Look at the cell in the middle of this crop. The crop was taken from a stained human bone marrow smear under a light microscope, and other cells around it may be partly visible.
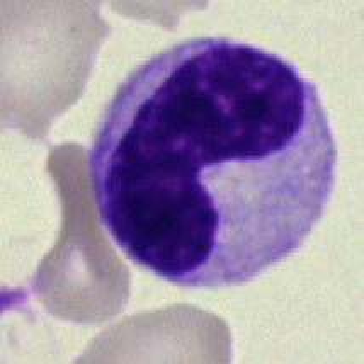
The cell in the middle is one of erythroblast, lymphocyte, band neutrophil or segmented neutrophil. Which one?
band neutrophil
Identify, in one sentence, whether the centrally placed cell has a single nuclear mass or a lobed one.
The nucleus holds together as a single compact mass, round, oval or kidney-like.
